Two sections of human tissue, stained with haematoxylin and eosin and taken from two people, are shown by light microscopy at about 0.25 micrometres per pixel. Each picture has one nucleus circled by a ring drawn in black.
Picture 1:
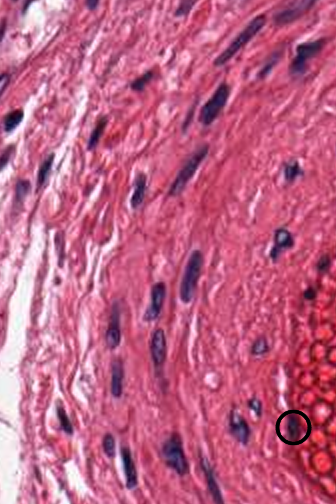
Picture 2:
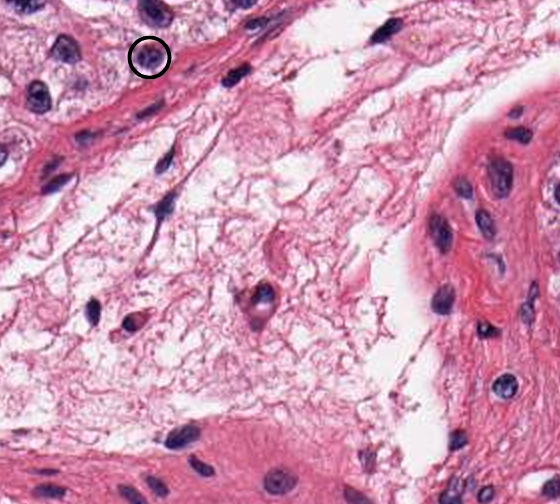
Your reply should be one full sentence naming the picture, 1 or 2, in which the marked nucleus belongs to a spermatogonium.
Of the two pictures, picture 2 is the one in which the marked nucleus belongs to a spermatogonium.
